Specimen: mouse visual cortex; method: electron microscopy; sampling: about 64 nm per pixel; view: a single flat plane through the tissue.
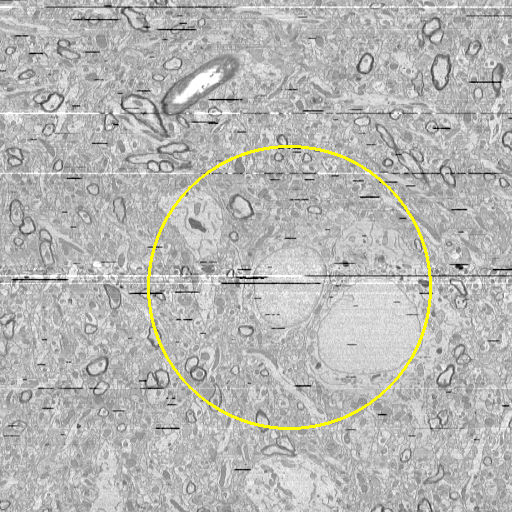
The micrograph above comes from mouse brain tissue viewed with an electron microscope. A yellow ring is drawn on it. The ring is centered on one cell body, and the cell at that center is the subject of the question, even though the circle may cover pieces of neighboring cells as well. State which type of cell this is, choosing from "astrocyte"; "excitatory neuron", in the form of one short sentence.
The cell the ring is centered on is an astrocyte.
